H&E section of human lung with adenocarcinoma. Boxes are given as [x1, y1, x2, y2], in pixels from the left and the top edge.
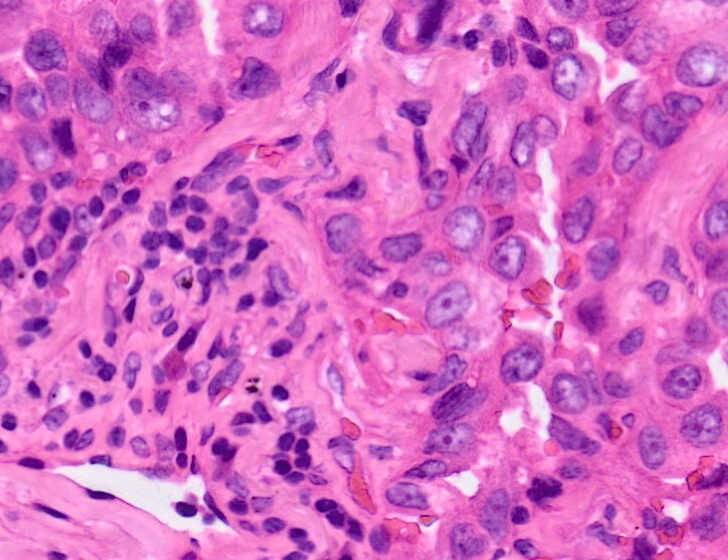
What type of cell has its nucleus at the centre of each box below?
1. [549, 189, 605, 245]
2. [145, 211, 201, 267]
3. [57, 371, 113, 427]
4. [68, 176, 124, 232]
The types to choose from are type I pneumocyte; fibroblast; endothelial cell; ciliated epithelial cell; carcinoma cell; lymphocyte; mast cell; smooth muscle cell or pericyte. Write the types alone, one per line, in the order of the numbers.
carcinoma cell
lymphocyte
lymphocyte
lymphocyte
